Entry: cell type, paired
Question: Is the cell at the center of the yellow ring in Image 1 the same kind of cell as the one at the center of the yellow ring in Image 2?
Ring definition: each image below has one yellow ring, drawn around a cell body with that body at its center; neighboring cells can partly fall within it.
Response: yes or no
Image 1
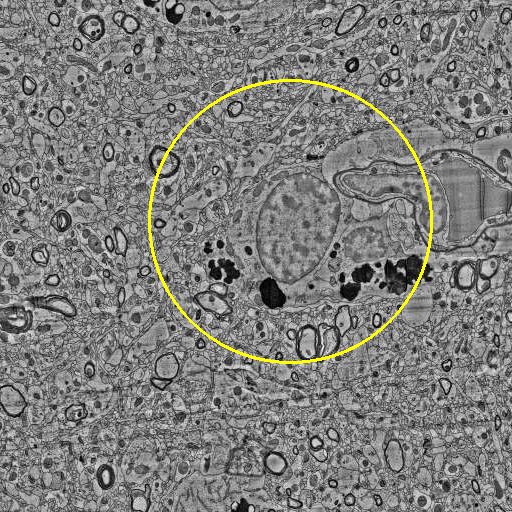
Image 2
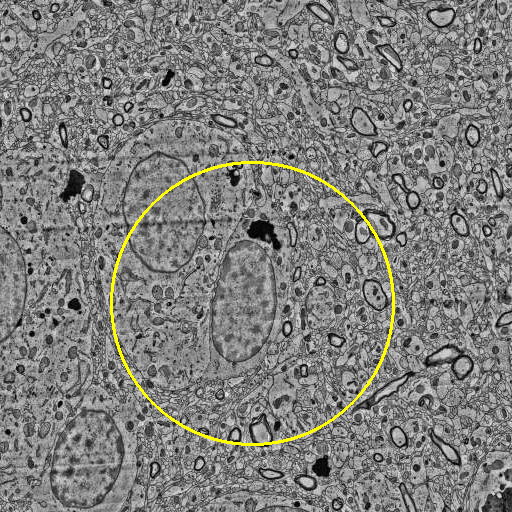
yes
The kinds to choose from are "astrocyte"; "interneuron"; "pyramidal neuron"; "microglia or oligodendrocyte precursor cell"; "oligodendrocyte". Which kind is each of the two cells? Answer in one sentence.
Both rings mark an oligodendrocyte, one in each picture.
